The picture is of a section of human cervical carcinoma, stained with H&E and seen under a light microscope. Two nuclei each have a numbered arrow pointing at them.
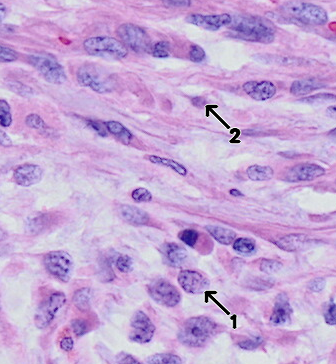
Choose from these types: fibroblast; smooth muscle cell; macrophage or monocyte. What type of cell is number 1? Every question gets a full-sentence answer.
The cell bearing label 1 corresponds to a macrophage or monocyte.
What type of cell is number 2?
The correct label for cell 2 is a fibroblast.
